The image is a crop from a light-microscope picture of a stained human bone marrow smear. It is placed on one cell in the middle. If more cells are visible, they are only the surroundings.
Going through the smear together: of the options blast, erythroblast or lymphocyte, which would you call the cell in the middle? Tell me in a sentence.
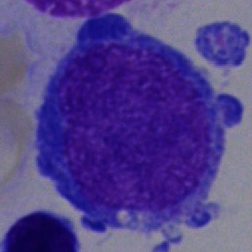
The crop's centre is taken up by a blast.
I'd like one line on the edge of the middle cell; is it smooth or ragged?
The edge of the cell is broken up by ragged stretches or by outward projections.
